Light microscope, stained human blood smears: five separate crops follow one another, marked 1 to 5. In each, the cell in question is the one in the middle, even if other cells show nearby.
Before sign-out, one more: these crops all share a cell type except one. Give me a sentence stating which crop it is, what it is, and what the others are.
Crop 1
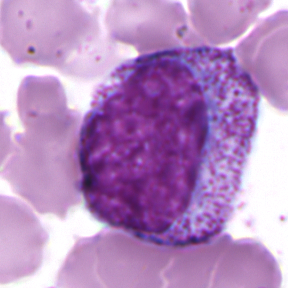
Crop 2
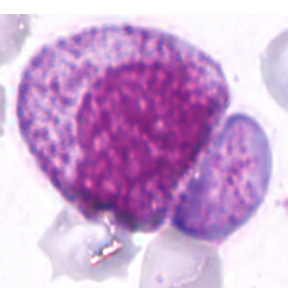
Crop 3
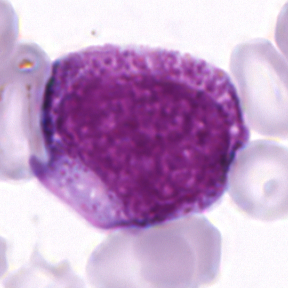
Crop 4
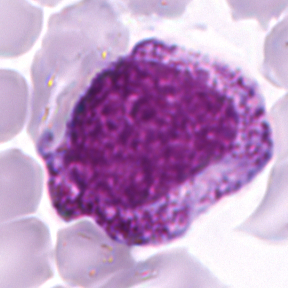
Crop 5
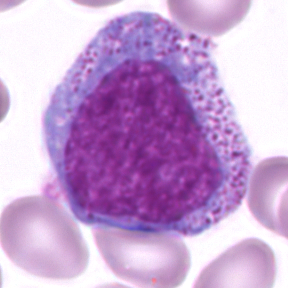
The different one is crop 2, which is a myelocyte; the rest all show promyelocytes.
